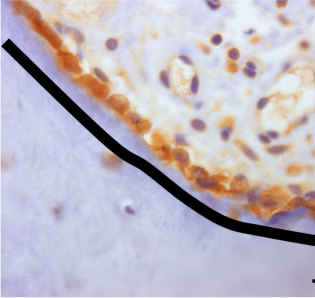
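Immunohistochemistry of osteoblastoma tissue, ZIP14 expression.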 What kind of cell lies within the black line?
Osteoblasts.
